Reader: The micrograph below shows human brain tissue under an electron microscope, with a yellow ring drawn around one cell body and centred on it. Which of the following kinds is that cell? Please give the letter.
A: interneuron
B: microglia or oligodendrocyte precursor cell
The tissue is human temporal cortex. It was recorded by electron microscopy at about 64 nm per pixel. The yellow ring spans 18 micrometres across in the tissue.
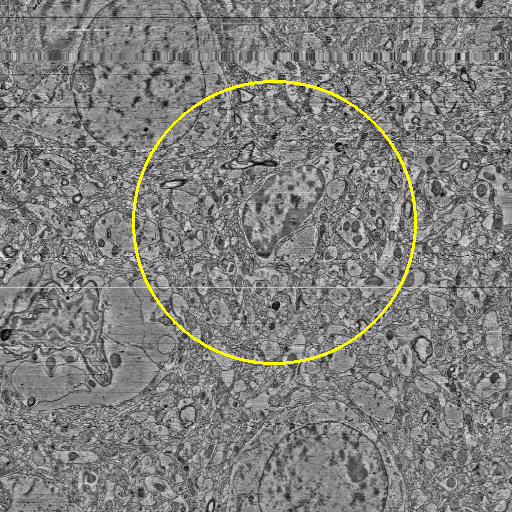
B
